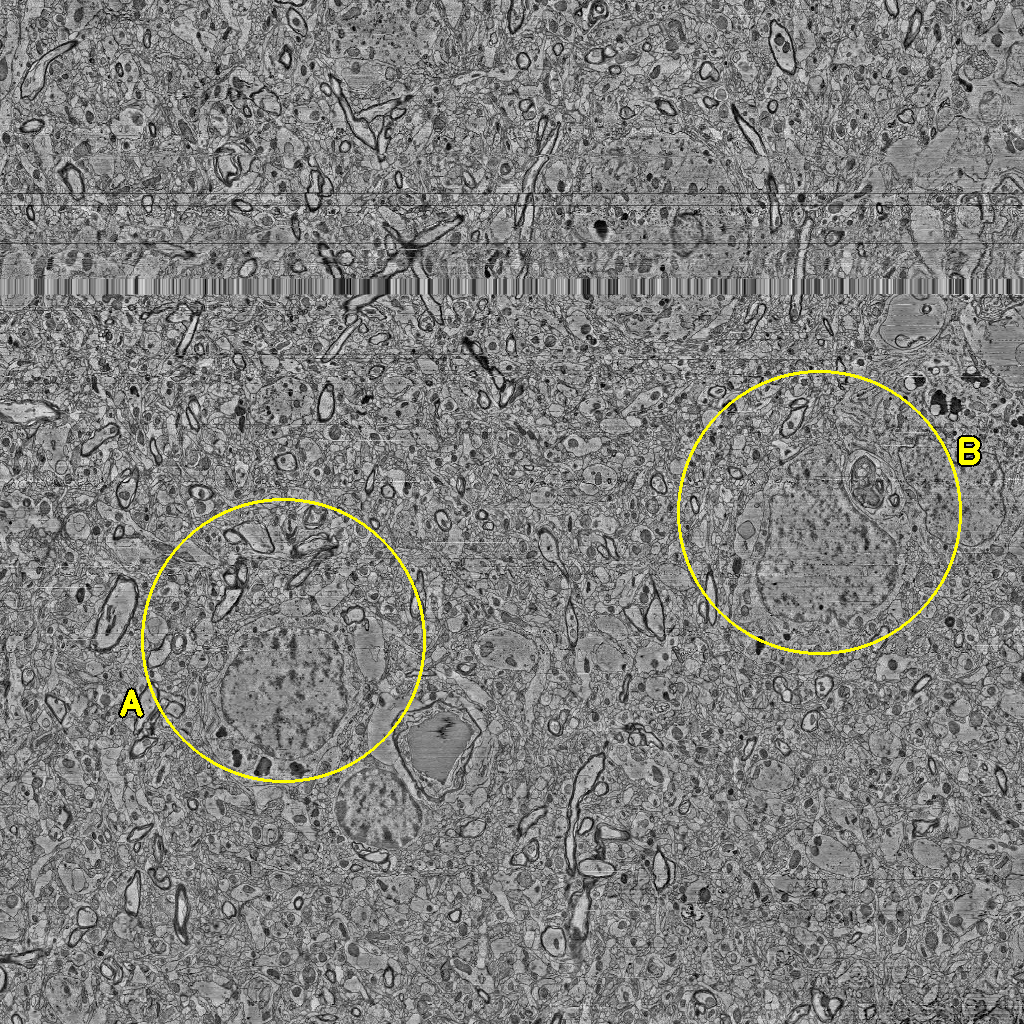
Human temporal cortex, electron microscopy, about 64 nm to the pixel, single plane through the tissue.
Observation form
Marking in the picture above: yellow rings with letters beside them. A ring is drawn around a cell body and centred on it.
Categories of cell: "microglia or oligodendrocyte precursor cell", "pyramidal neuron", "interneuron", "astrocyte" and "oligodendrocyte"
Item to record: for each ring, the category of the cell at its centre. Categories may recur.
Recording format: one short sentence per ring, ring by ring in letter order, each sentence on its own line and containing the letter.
Ring A is placed on an interneuron.
Ring B is placed on an interneuron.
